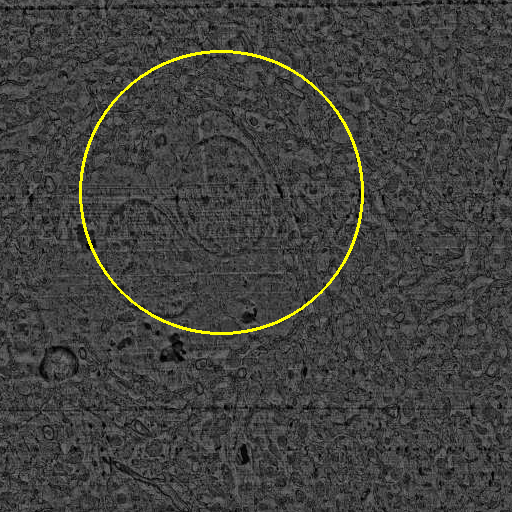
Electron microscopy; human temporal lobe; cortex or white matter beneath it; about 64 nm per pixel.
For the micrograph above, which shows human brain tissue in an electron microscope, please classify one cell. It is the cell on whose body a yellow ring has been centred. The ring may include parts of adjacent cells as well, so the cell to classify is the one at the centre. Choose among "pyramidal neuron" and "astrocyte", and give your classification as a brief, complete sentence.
I classify this cell as an astrocyte.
